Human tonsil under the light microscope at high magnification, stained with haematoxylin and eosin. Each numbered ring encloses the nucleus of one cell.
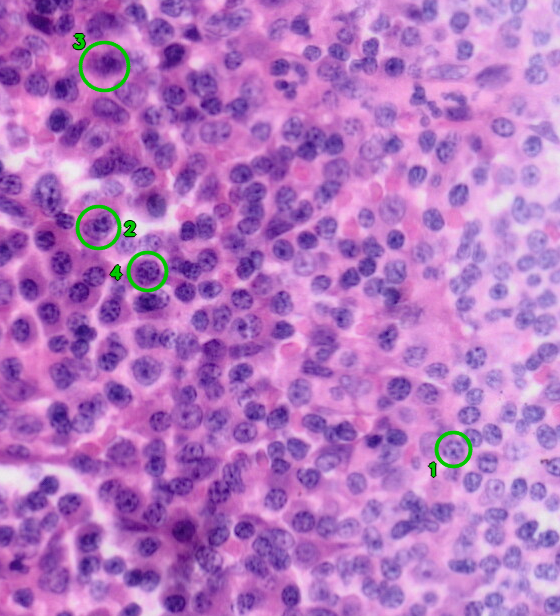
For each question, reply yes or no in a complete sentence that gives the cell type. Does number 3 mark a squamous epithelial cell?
Yes, the cell marked by the number 3 is a squamous epithelial cell.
